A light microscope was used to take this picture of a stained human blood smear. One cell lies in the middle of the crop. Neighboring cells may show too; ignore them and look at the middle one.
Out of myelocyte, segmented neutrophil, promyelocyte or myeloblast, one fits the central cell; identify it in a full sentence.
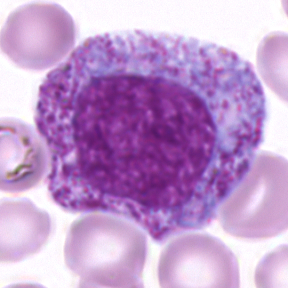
Answering briefly, the cell in the middle is a promyelocyte.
